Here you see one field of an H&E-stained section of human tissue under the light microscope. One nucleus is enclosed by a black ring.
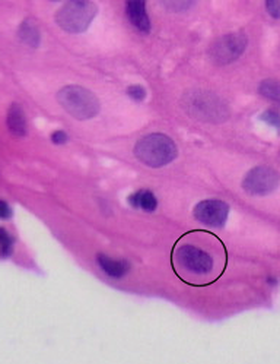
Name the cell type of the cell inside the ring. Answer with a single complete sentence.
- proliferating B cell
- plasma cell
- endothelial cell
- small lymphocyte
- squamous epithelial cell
The cell meant here is a squamous epithelial cell.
